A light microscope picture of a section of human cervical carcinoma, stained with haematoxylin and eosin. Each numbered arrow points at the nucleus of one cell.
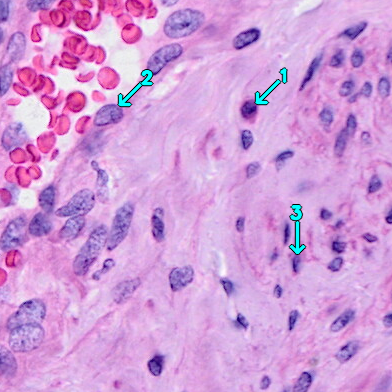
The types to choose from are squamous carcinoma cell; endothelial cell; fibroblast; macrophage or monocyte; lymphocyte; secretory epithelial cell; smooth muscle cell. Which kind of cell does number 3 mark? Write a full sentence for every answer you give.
The cell with the number 3 is a smooth muscle cell.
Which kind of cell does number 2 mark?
Numbered cell 2 is an endothelial cell in this tissue section.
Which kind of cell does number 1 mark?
The numeral 1 marks a smooth muscle cell in this section.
